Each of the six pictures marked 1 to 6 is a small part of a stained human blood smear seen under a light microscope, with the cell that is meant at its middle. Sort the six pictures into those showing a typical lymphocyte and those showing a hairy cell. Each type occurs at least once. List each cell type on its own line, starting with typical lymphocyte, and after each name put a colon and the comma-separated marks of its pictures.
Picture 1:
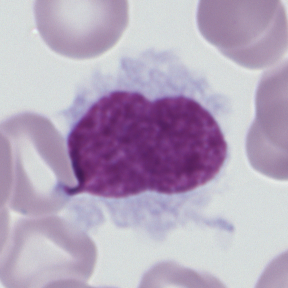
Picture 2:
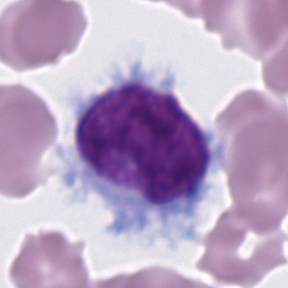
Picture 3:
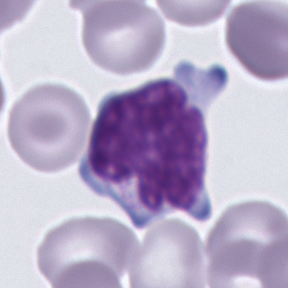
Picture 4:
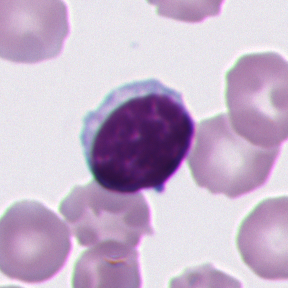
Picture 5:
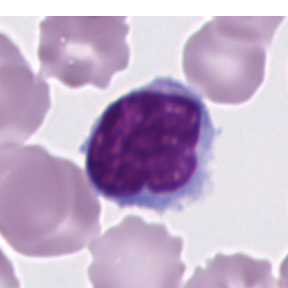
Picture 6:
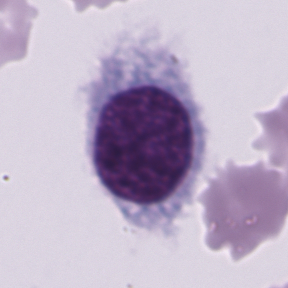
typical lymphocyte: 3, 4
hairy cell: 1, 2, 5, 6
